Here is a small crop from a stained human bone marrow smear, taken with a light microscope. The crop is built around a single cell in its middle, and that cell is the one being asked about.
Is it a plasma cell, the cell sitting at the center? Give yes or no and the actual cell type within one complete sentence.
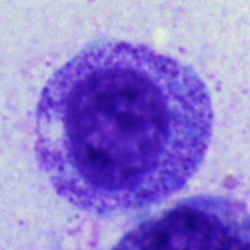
No, sorry, the middle cell is a promyelocyte rather than a plasma cell.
